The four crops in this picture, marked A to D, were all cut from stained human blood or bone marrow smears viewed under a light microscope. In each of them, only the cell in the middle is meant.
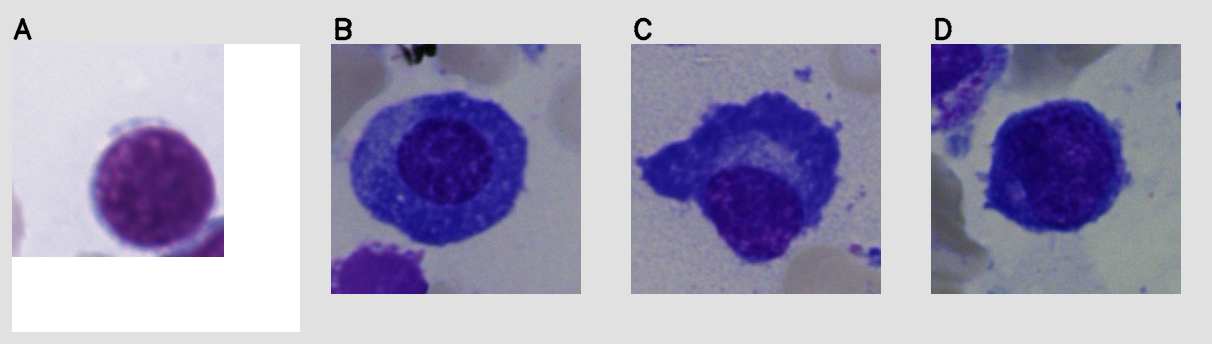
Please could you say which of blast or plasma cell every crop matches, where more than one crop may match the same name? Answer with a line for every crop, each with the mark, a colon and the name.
A: blast
B: plasma cell
C: plasma cell
D: blast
